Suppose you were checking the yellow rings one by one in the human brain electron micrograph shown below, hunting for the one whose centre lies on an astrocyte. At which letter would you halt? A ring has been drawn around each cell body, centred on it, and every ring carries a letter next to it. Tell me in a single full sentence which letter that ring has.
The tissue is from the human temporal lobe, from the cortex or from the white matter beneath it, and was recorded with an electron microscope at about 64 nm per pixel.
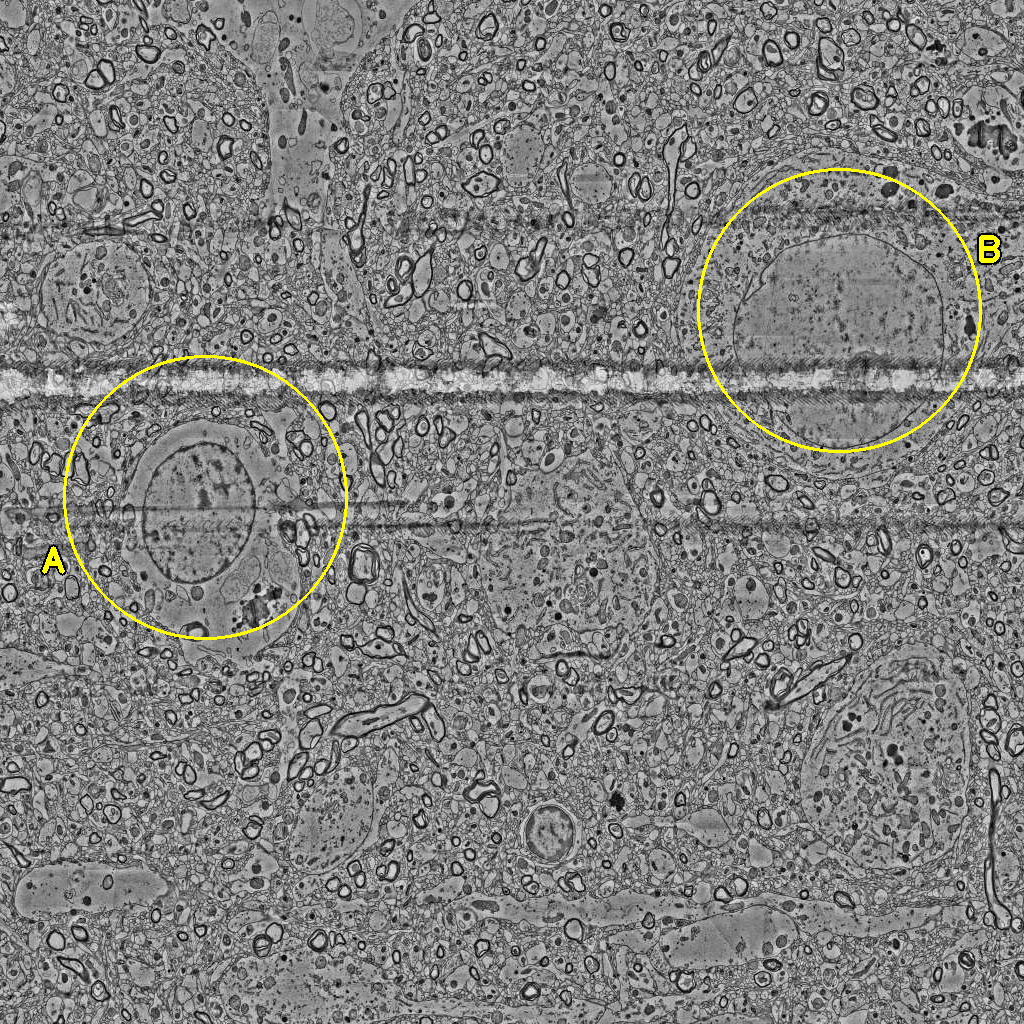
Going through the rings, I would stop at ring A, the one centred on the cell asked for.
